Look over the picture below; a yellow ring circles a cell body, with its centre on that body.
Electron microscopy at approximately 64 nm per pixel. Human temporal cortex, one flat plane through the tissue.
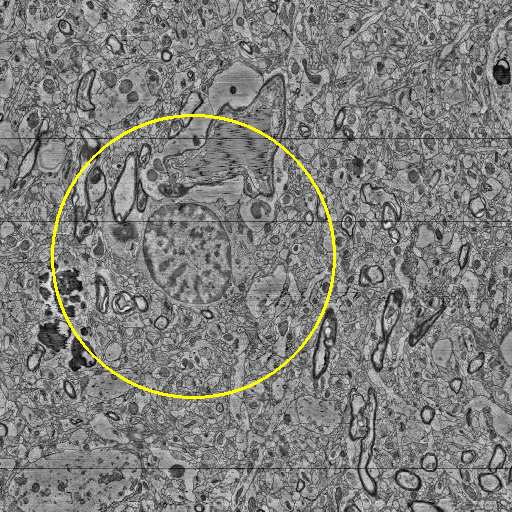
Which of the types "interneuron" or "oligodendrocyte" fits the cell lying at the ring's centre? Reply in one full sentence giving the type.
The picture shows an oligodendrocyte at the centre of the yellow ring.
